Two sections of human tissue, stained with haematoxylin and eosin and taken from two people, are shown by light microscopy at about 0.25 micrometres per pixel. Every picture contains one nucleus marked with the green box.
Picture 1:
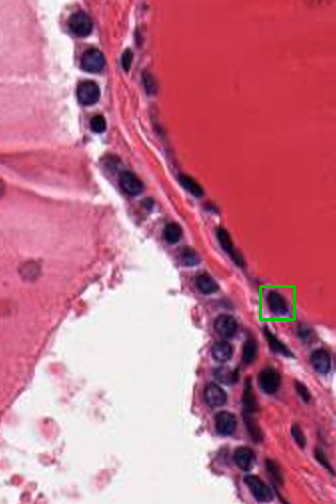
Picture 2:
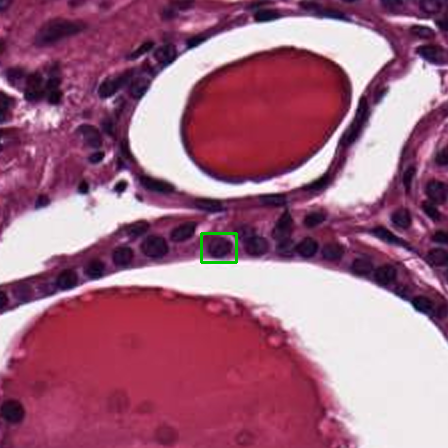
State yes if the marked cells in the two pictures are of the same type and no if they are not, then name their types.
Yes, both are thyroid follicular cells.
